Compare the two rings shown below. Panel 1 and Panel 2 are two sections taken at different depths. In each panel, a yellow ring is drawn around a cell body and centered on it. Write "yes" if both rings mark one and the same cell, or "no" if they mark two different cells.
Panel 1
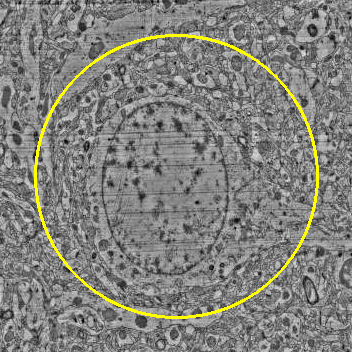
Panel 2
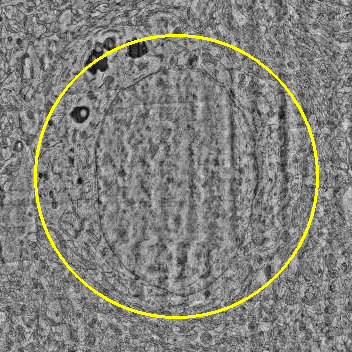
no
